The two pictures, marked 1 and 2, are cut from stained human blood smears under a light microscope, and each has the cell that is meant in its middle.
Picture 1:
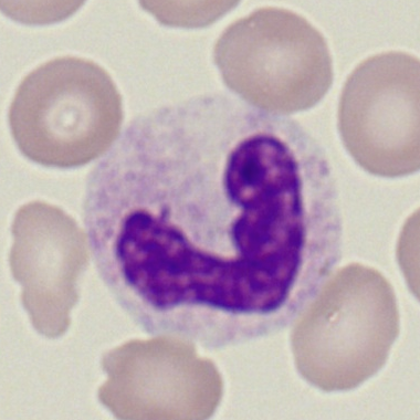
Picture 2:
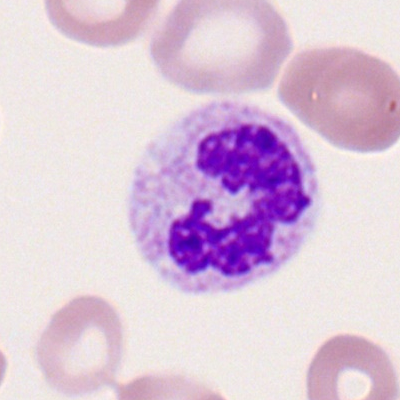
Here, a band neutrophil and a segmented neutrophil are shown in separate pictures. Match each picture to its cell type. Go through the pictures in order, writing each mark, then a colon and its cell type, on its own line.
1: band neutrophil
2: segmented neutrophil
